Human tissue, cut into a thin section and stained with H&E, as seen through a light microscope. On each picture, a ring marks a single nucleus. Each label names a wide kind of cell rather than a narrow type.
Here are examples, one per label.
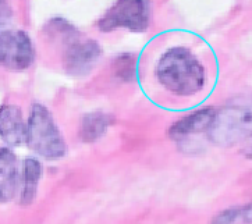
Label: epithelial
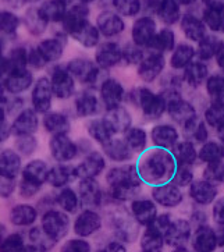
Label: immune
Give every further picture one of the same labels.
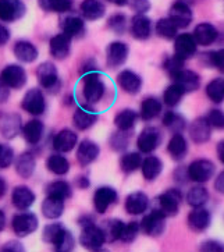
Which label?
immune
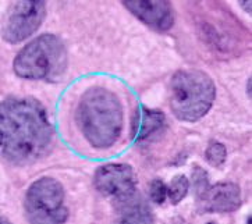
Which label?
epithelial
